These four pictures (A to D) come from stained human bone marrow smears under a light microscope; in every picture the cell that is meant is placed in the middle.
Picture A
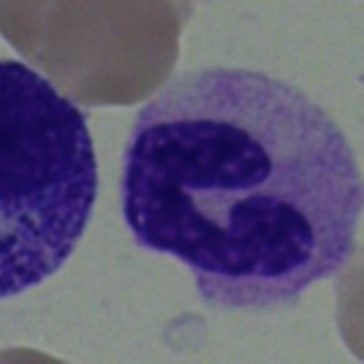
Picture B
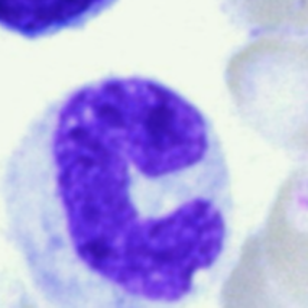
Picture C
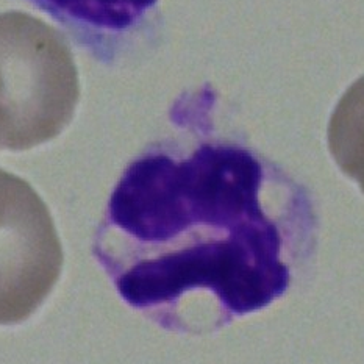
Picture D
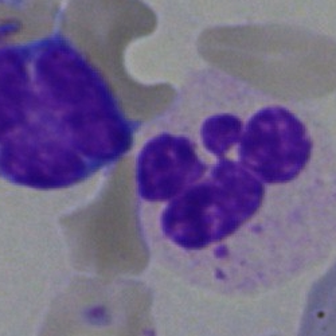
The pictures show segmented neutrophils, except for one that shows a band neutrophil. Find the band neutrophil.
B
